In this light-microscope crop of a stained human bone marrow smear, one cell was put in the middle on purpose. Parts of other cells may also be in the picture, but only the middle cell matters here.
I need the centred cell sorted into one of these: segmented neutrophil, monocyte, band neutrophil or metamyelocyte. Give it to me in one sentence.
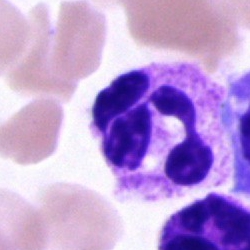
The cell marked by its central position in the crop is a segmented neutrophil.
